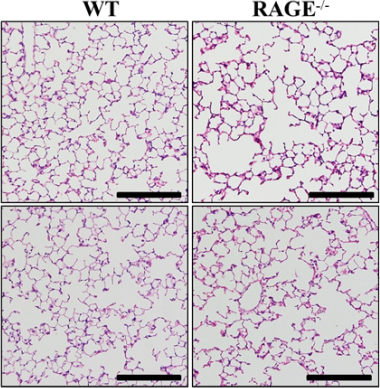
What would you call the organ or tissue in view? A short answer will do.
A: alveolar parenchyma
